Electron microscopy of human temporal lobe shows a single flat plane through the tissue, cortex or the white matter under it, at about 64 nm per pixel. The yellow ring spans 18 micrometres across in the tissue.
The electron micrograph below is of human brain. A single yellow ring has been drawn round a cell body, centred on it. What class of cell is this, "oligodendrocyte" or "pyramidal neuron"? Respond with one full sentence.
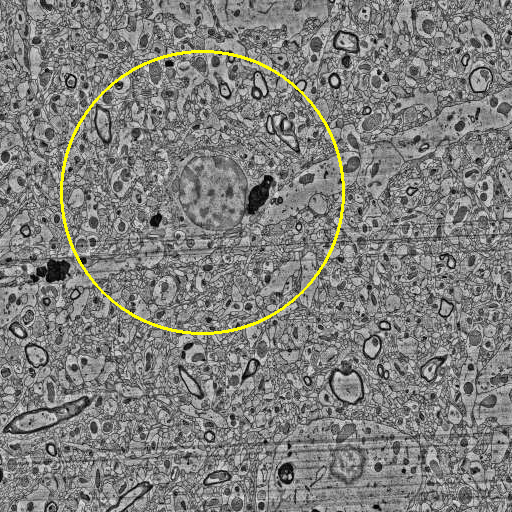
In the micrograph, the cell centred inside the yellow ring is an oligodendrocyte.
